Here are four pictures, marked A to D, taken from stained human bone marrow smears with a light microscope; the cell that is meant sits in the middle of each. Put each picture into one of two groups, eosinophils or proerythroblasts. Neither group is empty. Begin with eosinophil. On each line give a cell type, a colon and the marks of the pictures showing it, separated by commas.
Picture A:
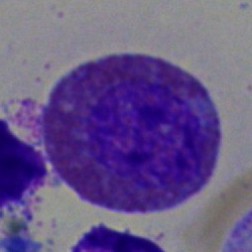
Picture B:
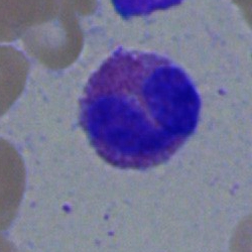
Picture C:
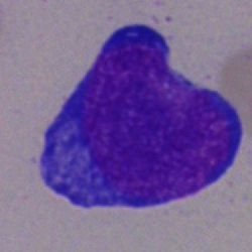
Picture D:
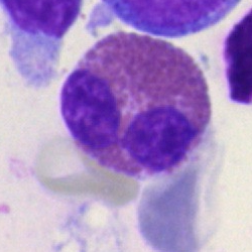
eosinophil: A, B, D
proerythroblast: C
